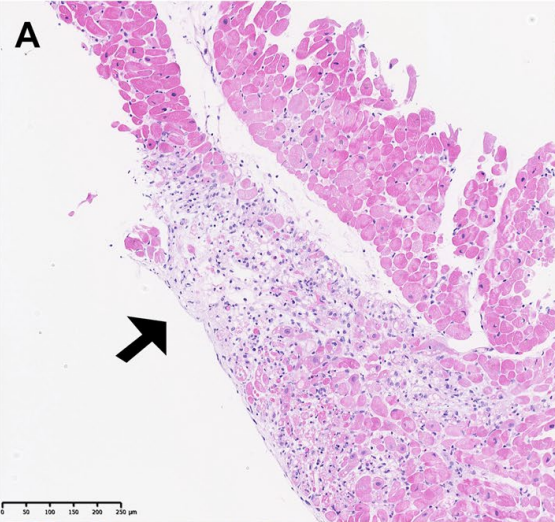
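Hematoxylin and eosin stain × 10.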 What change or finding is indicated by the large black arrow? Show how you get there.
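Pink striated muscle fibres fill the upper part of the tissue. A band of tissue near the arrow is crowded with small dark-blue nuclei between muscle fibres. The crowded area is confined to one region while other muscle looks uninvolved. That points to this answer: patchy inflamed myocardium.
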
